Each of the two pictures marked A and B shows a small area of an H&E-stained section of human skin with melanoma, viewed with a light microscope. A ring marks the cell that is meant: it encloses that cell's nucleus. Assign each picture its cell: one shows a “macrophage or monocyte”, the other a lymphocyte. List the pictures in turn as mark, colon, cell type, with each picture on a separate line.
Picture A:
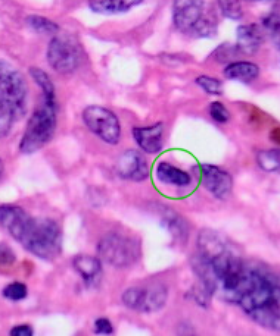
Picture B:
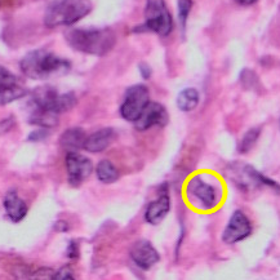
A: lymphocyte
B: macrophage or monocyte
